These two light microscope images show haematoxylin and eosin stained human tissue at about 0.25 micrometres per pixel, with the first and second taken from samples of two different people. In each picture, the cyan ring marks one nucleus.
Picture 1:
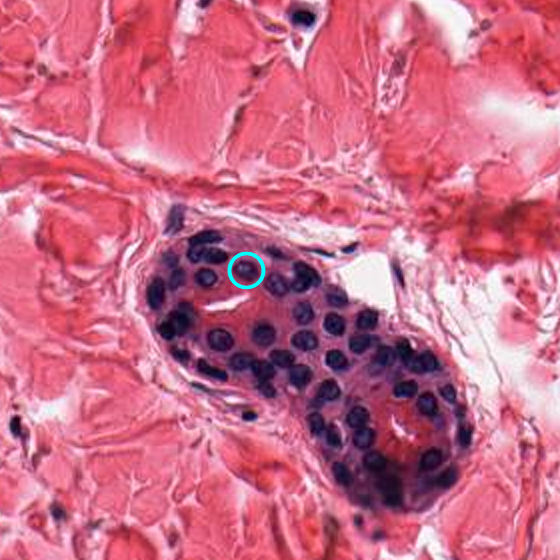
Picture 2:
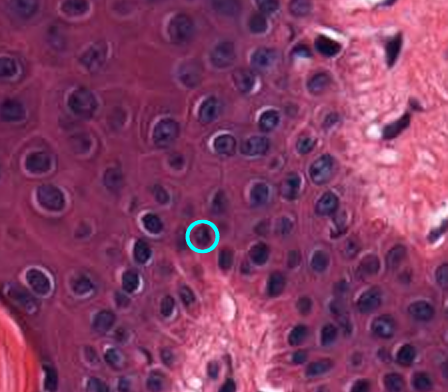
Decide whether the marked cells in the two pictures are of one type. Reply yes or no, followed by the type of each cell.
No, the first is a sweat gland cell and the second a keratinocyte.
